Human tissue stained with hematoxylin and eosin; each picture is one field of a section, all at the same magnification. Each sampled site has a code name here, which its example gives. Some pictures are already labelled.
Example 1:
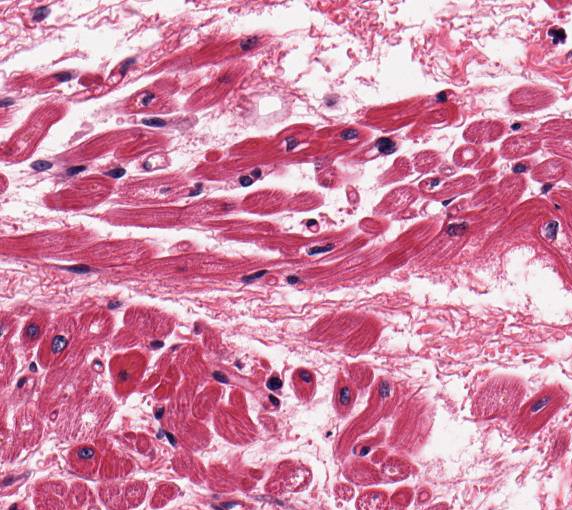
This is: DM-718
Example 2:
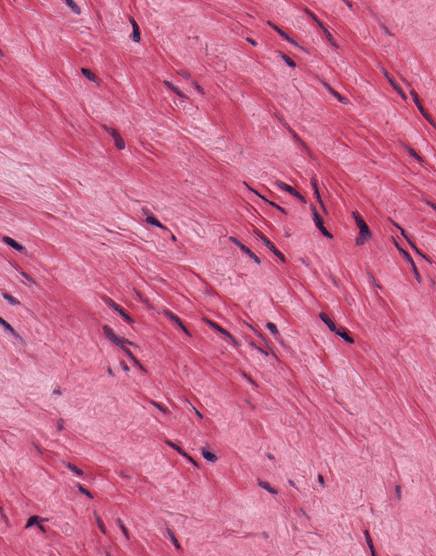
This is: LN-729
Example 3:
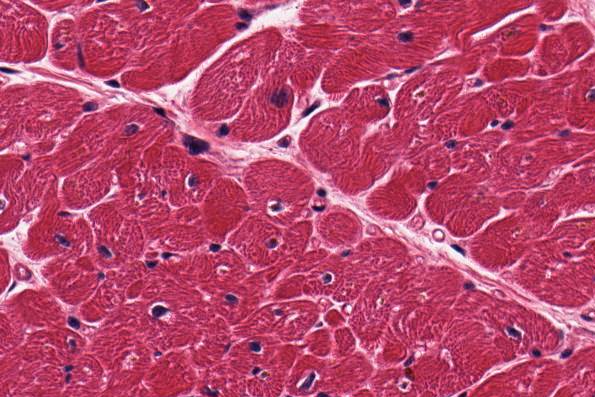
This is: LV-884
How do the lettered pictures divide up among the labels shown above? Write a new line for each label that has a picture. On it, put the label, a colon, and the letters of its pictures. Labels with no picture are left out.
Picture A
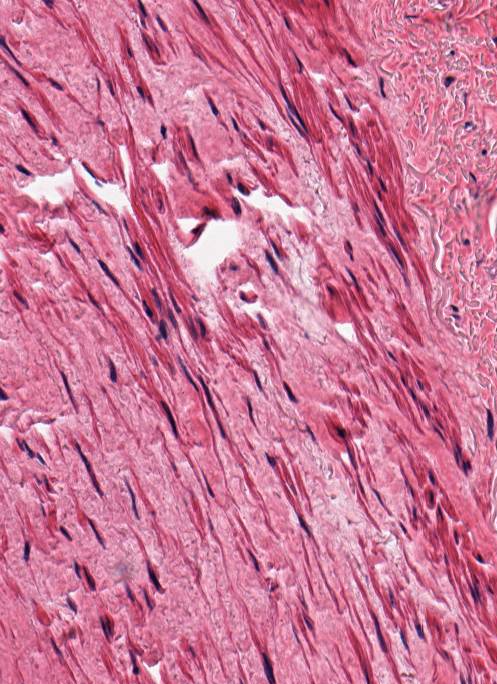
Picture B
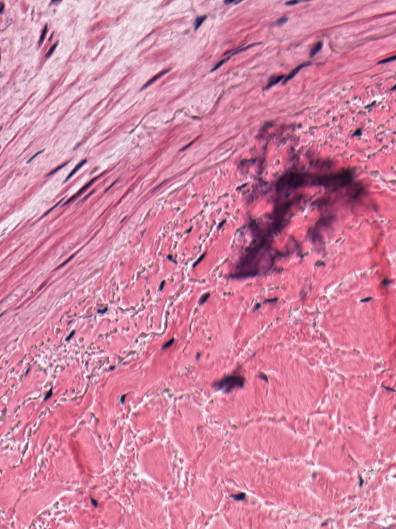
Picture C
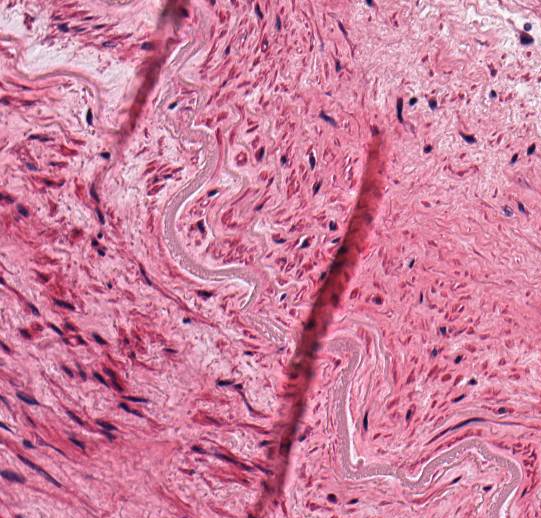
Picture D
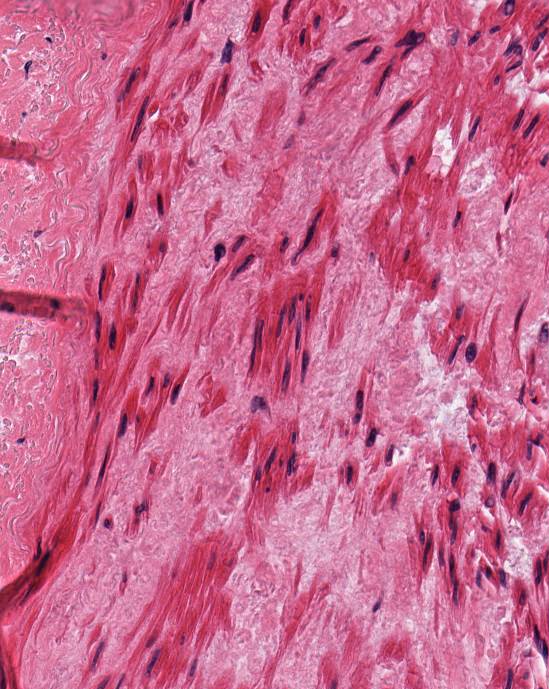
LN-729: A, B, C, D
